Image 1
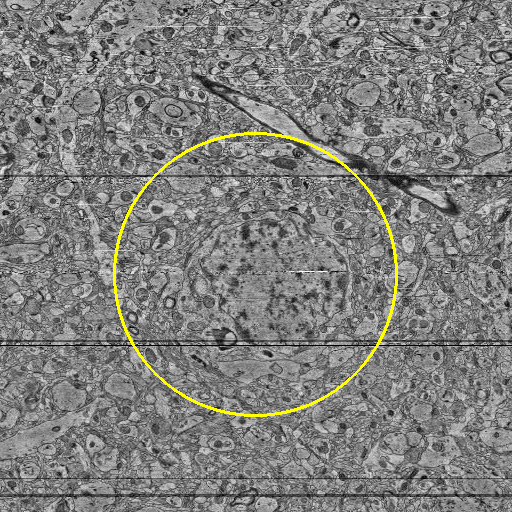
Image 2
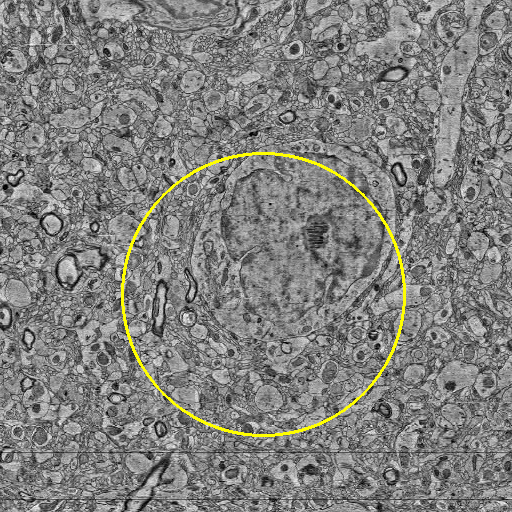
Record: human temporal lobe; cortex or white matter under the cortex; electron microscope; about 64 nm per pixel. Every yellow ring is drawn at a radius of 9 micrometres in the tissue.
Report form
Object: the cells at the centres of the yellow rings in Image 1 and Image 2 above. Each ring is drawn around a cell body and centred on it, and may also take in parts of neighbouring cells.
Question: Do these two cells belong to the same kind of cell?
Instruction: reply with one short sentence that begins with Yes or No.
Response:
Yes, both belong to the same kind of cell.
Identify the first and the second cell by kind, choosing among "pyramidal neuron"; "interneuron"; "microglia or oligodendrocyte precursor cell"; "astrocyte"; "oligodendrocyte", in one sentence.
Both pictures show an interneuron at the centre of the ring.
